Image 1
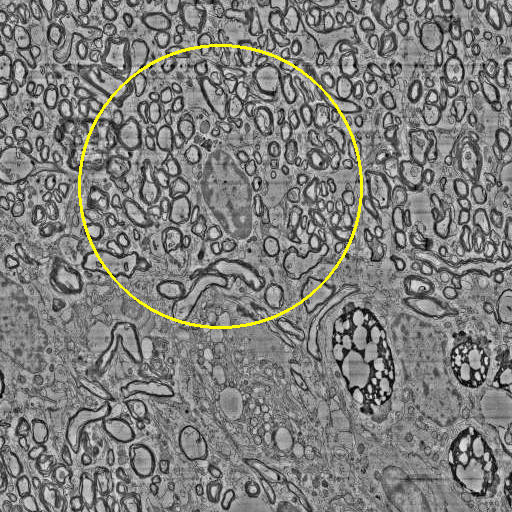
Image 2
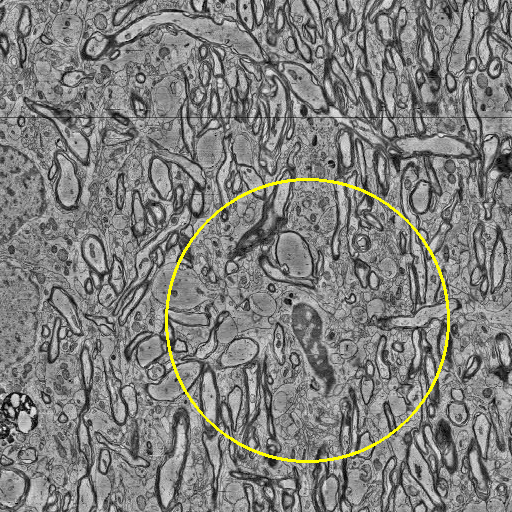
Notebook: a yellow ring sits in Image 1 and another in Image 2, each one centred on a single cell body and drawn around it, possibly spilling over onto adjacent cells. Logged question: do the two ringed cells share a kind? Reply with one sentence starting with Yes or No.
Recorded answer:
Yes, both centre cells inside the rings of Image 1 and Image 2 share one kind.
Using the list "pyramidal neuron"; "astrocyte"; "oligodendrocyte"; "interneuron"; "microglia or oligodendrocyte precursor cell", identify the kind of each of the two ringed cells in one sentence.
In the first picture and in the second, the ring is centred on a microglial cell or oligodendrocyte precursor cell.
